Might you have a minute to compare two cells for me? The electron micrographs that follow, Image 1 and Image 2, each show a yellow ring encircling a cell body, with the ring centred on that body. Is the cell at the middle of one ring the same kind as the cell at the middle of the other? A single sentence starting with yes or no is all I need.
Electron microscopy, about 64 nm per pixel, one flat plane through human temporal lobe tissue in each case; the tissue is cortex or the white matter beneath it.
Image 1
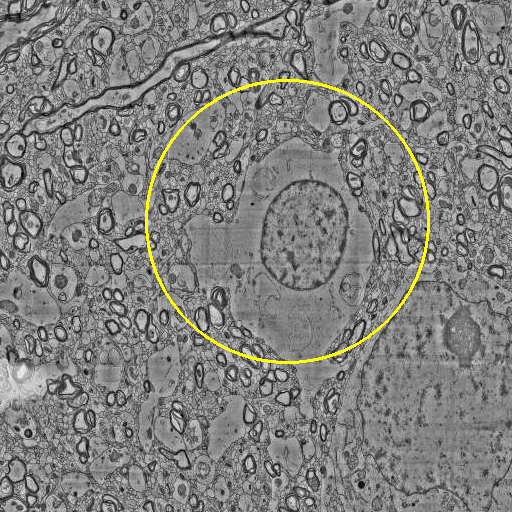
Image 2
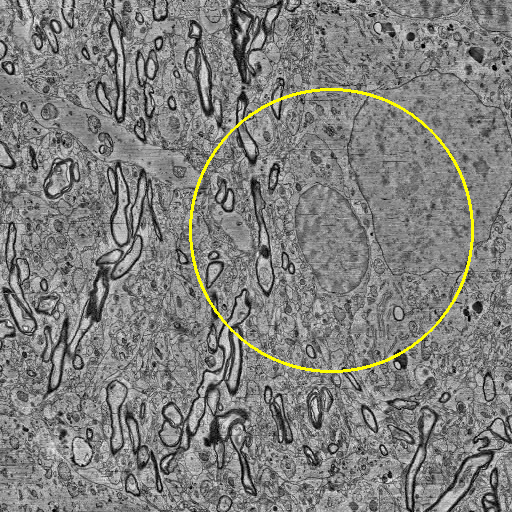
No, the cells in the middle of the two rings are of two separate kinds.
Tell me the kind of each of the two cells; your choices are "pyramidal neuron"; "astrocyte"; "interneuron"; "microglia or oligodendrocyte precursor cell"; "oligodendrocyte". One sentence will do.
The ringed cell is an astrocyte in the first picture and an oligodendrocyte in the second picture.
